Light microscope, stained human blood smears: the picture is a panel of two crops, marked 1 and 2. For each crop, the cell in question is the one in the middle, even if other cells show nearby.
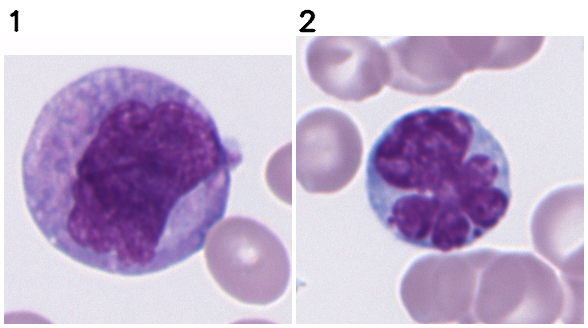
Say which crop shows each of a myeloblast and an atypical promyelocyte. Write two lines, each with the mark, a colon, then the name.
1: atypical promyelocyte
2: myeloblast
